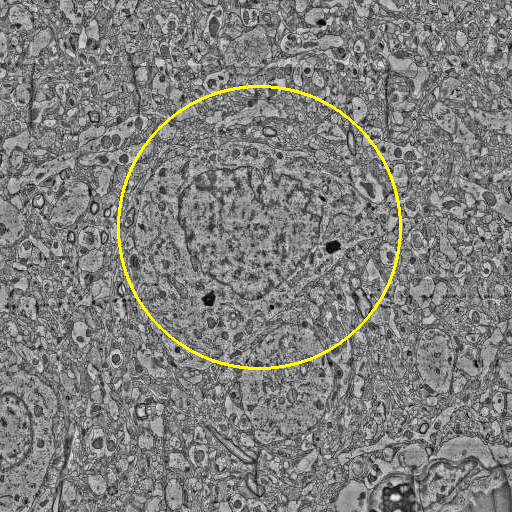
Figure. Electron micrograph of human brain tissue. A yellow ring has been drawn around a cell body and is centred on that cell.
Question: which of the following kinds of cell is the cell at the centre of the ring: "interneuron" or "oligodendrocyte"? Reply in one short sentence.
The cell at the centre of the ring is an interneuron.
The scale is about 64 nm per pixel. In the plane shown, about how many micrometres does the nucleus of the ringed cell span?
In this plane the nucleus measures roughly 9 micrometres across.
